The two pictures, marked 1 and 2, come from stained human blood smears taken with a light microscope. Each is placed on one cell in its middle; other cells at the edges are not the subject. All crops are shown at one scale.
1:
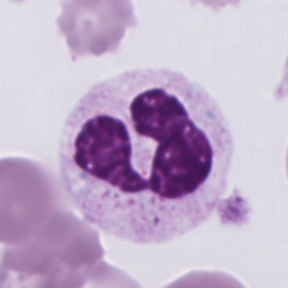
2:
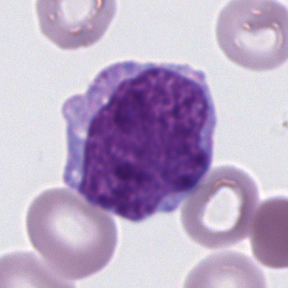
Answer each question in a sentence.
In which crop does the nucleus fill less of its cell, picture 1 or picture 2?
Of the two, the nucleus in picture 1 leaves more room for cytoplasm.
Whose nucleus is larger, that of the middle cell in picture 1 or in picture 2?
Larger is the nucleus in picture 2, at roughly 1.5 times the area of the other.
